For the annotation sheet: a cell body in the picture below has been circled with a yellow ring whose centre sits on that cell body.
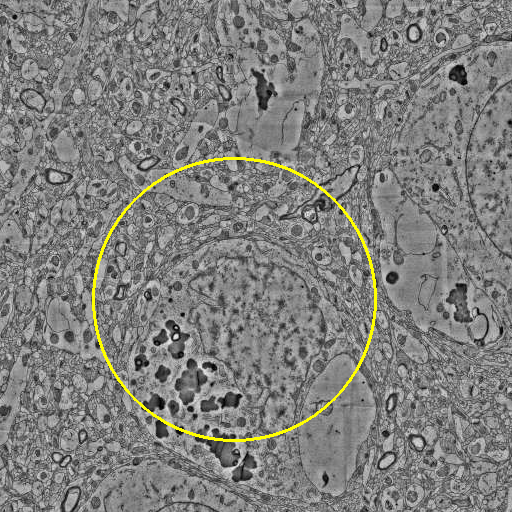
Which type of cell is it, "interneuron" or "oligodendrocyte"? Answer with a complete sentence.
The circled cell is an interneuron.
